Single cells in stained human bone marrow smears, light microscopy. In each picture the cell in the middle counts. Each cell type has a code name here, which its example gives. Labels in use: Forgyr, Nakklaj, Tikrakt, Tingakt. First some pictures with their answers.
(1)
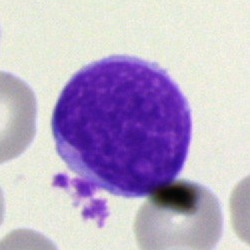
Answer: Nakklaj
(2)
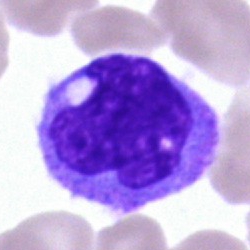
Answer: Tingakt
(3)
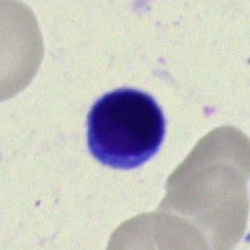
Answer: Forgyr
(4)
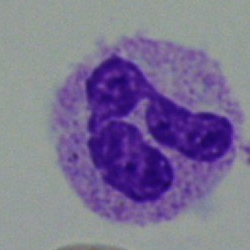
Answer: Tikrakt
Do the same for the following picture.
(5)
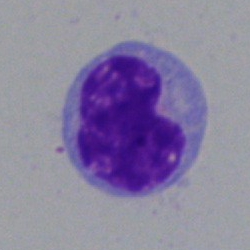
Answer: Forgyr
